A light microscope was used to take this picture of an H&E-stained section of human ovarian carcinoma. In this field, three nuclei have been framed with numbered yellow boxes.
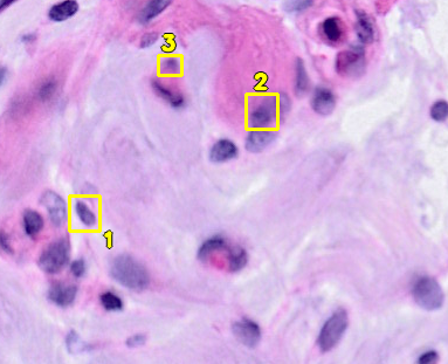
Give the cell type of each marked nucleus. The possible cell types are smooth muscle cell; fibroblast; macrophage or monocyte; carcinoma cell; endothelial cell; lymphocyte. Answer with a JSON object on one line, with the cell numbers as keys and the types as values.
{"1": "lymphocyte", "2": "smooth muscle cell", "3": "smooth muscle cell"}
